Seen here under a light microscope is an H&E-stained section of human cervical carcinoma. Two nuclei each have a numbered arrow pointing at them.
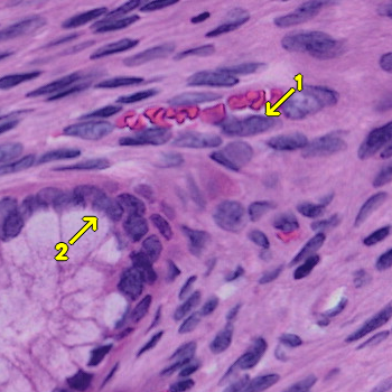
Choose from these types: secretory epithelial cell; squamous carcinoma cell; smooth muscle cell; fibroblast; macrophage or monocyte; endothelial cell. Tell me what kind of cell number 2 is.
secretory epithelial cell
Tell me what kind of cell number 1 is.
endothelial cell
